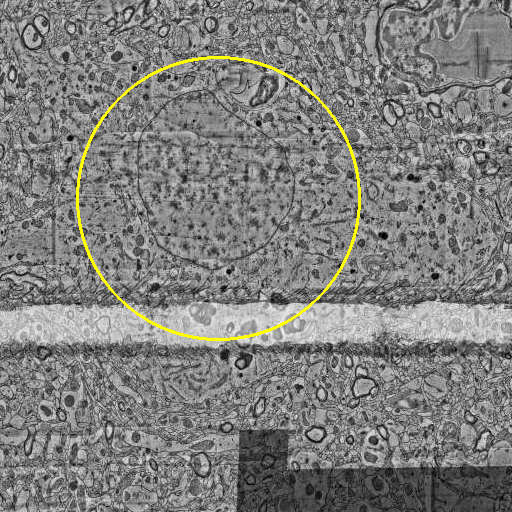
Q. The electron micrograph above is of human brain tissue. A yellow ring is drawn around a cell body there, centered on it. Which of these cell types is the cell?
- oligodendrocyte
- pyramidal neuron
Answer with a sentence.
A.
The cell under the ring's center is a pyramidal neuron.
